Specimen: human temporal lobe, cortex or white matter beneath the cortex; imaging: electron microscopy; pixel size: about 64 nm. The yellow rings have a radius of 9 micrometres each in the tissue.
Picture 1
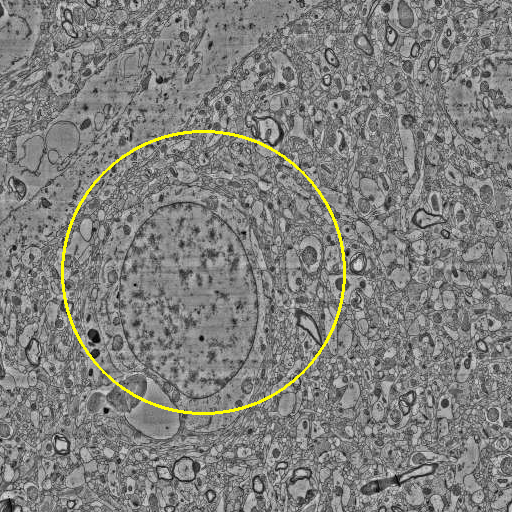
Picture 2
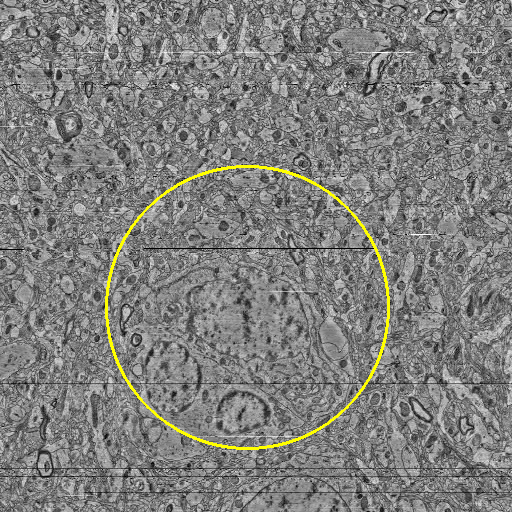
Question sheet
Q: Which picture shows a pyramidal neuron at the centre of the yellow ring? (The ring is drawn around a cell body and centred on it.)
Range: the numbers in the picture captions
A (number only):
1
